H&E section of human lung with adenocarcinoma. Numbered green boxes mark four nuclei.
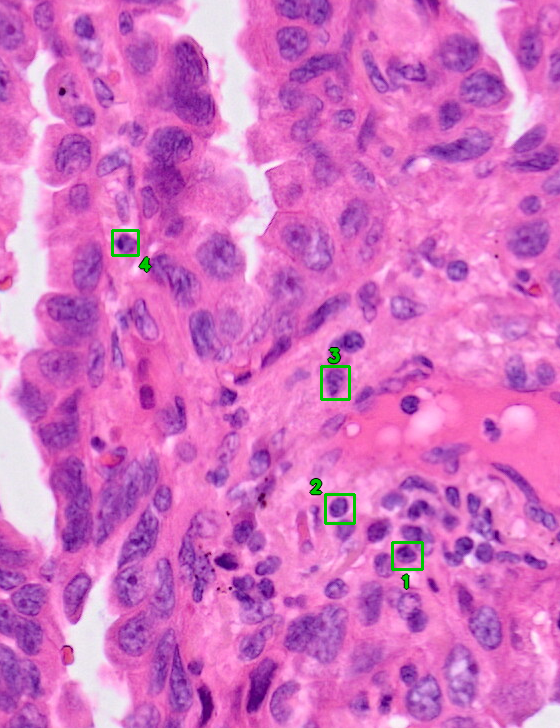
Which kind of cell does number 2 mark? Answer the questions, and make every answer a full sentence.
Cell number 2 in this section is a lymphocyte.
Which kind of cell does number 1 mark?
The cell with the number 1 is a lymphocyte.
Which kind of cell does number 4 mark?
Looking at the numbered marks, cell 4 is a lymphocyte.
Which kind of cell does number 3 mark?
In the tissue shown, cell 3 is a plasma cell.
